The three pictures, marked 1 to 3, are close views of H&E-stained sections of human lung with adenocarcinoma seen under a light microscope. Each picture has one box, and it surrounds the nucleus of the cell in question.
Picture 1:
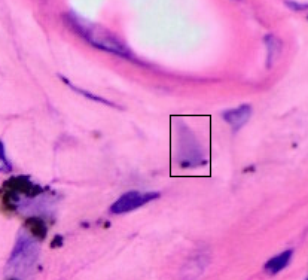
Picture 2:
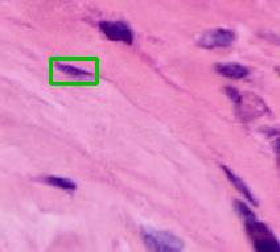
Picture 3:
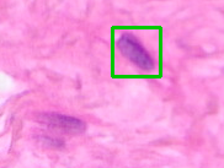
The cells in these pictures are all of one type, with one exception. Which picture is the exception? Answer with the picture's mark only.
3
